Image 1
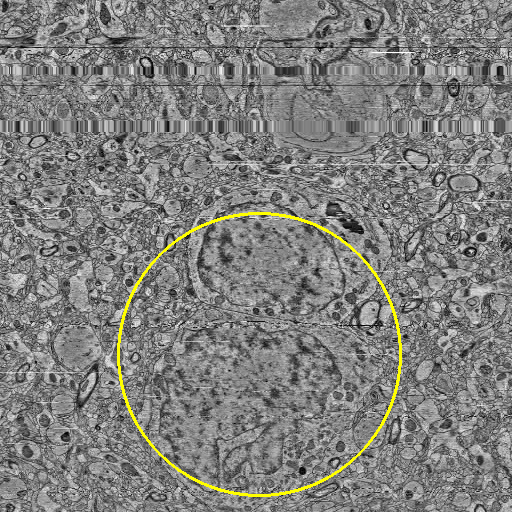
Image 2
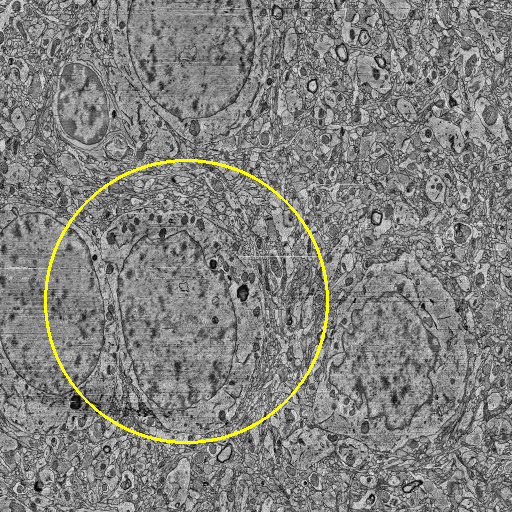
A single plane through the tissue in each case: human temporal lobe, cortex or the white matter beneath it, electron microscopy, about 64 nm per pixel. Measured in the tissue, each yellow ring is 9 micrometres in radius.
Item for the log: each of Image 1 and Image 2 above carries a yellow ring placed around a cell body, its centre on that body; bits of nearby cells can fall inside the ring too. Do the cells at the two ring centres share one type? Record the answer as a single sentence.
No, the two cells at the ring centres in Image 1 and Image 2 are of two types.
